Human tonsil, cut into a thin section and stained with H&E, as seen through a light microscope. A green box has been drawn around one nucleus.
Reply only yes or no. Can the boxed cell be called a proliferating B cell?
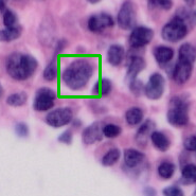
yes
